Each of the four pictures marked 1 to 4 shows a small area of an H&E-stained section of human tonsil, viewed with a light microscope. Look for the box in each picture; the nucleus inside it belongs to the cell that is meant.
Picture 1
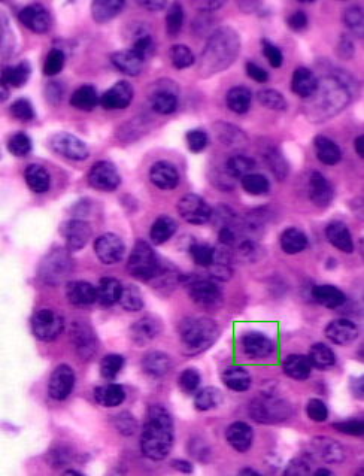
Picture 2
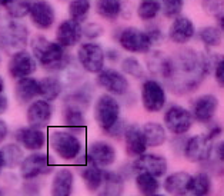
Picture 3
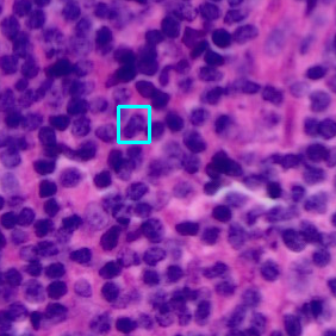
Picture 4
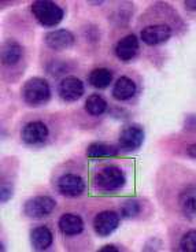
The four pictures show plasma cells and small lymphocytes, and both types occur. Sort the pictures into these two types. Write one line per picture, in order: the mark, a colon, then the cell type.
1: plasma cell
2: small lymphocyte
3: small lymphocyte
4: plasma cell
